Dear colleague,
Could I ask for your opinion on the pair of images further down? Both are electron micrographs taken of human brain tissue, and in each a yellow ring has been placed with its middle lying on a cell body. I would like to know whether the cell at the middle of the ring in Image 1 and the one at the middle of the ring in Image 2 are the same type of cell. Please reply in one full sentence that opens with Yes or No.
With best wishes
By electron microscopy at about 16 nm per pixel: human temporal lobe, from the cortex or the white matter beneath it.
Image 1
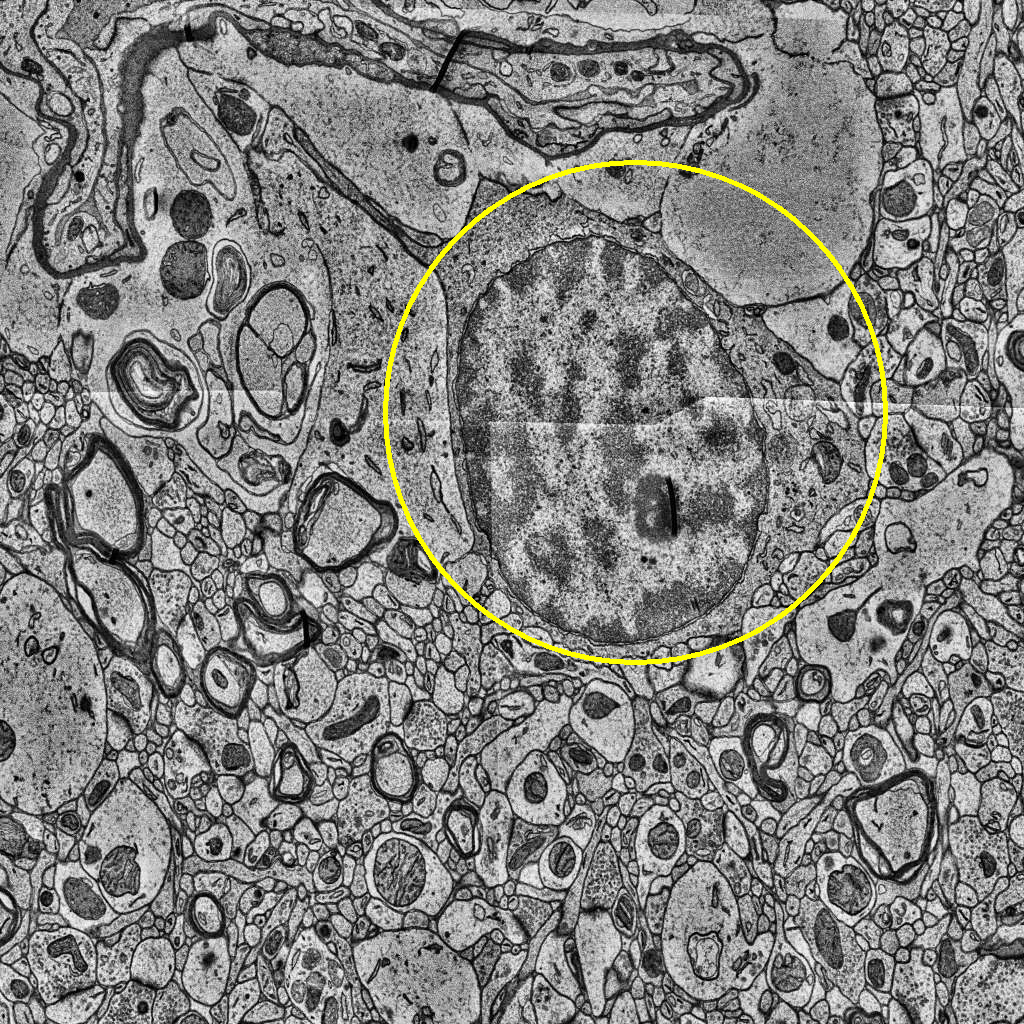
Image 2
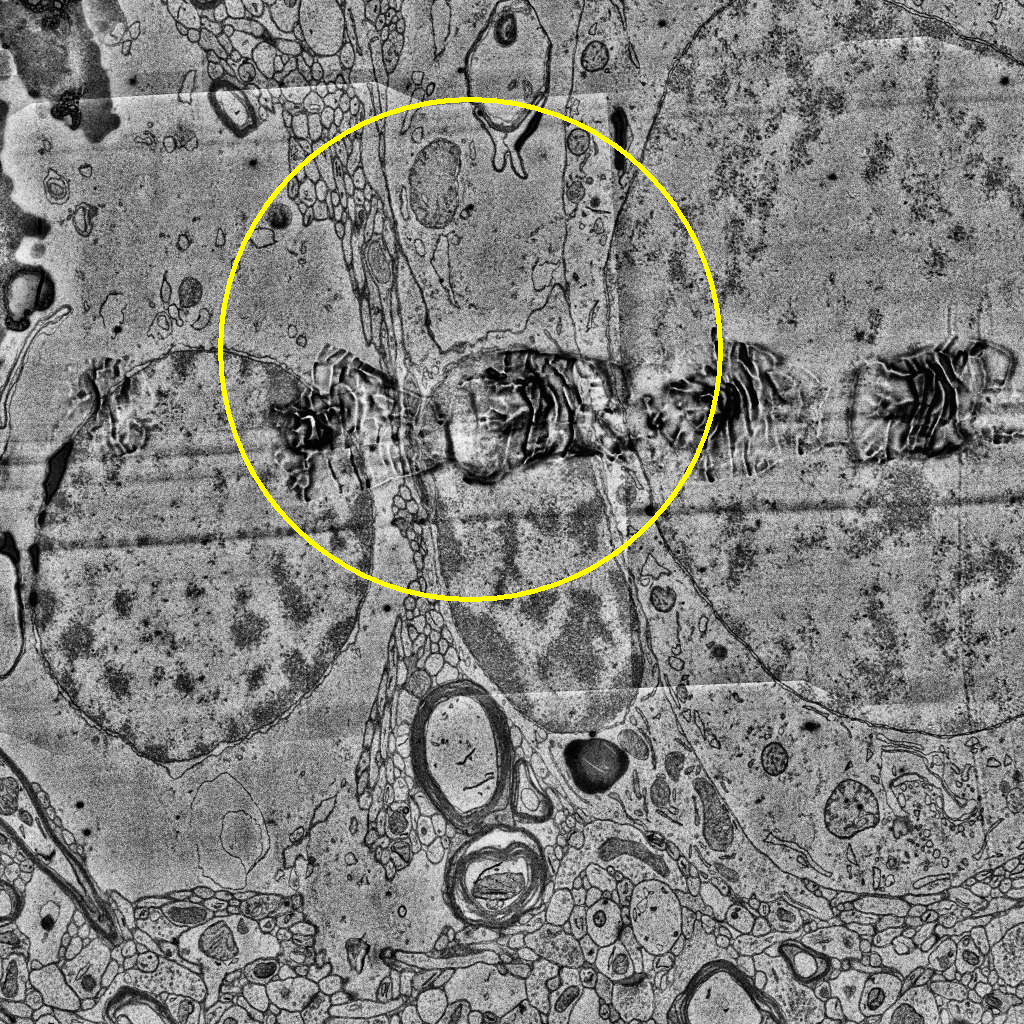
No, the cells at the ring centres in Image 1 and Image 2 are of two types.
